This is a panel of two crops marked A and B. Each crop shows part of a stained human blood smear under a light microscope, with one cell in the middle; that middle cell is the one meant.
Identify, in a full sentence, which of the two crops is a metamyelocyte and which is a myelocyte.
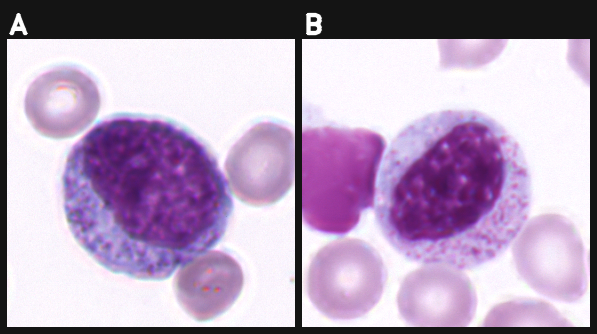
What crop A shows is a myelocyte, and what crop B shows is a metamyelocyte.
